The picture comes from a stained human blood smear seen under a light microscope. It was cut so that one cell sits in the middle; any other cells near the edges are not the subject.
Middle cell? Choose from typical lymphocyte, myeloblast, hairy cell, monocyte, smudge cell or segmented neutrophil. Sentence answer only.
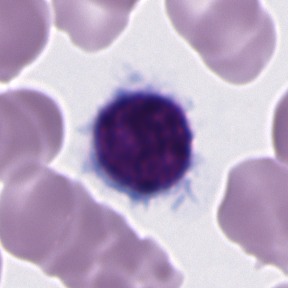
The cell at the central position in this crop is a hairy cell.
